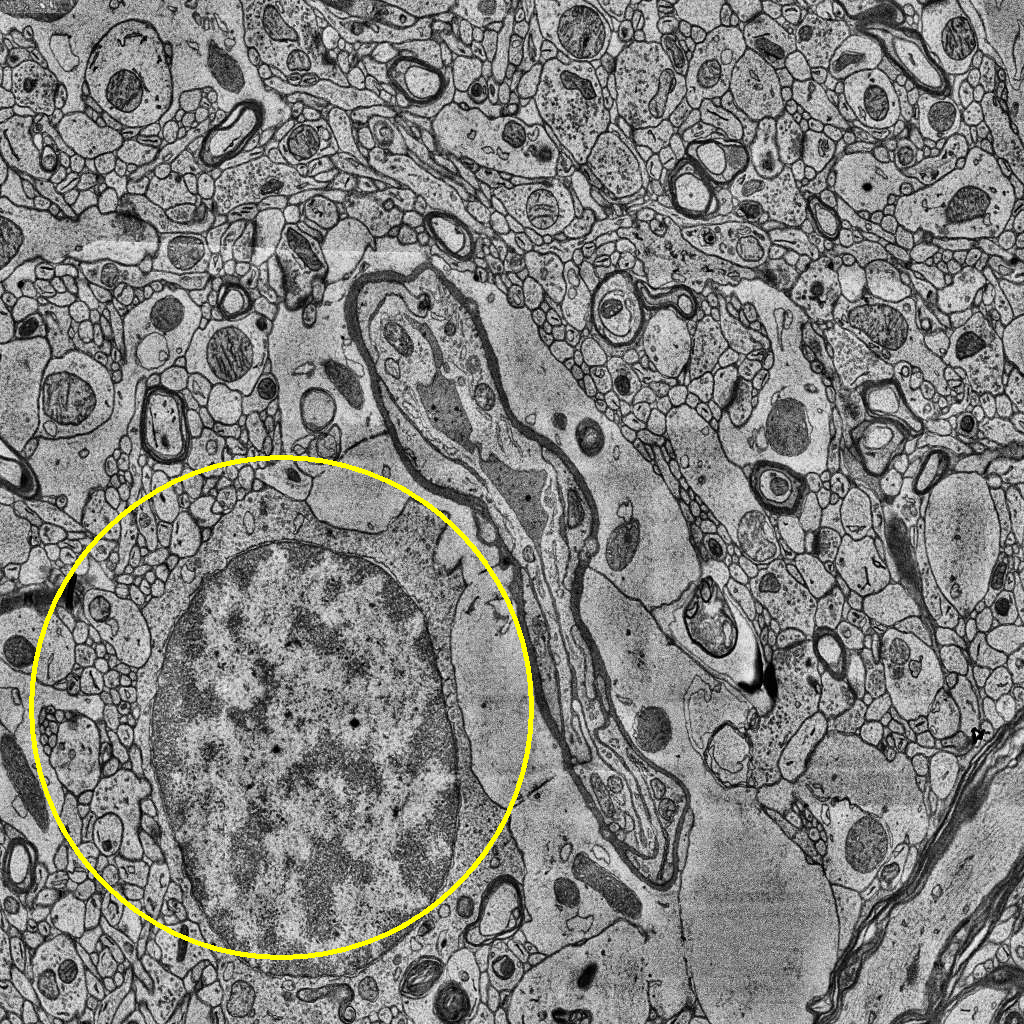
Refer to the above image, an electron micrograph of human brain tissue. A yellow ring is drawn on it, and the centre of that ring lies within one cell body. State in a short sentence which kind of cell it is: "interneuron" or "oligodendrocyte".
The centre of the ring falls on an oligodendrocyte.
